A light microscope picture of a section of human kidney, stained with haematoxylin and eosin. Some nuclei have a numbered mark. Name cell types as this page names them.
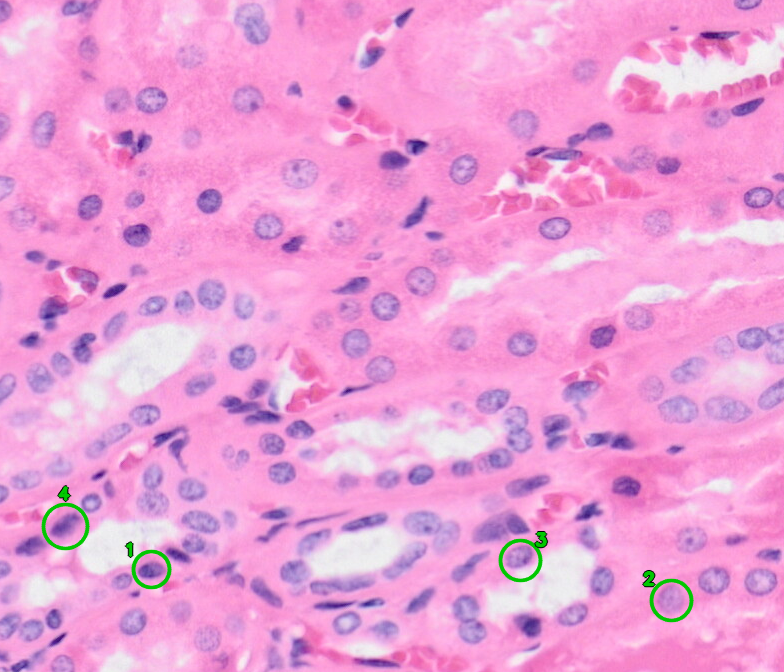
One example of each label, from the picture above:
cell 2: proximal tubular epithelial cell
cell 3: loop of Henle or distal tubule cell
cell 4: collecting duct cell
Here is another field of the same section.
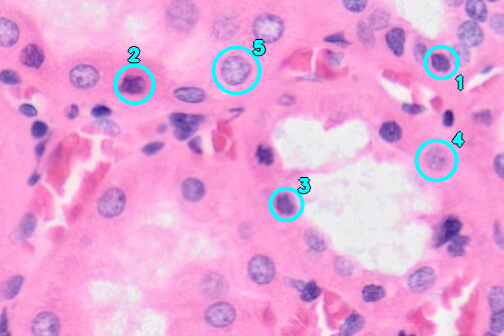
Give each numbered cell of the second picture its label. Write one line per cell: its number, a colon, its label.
1: collecting duct cell
2: proximal tubular epithelial cell
3: loop of Henle or distal tubule cell
4: loop of Henle or distal tubule cell
5: proximal tubular epithelial cell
